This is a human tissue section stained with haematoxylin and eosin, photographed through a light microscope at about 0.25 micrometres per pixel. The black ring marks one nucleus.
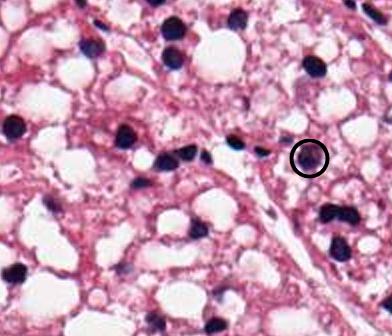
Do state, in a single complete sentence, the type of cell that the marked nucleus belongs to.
The marked nucleus is seen to belong to an adrenal cortical cell.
